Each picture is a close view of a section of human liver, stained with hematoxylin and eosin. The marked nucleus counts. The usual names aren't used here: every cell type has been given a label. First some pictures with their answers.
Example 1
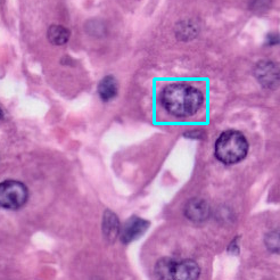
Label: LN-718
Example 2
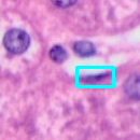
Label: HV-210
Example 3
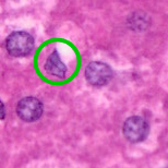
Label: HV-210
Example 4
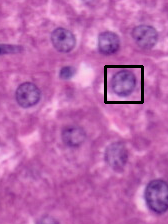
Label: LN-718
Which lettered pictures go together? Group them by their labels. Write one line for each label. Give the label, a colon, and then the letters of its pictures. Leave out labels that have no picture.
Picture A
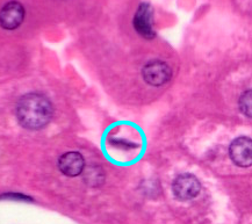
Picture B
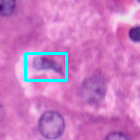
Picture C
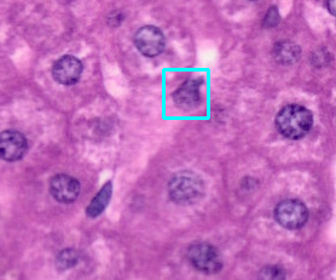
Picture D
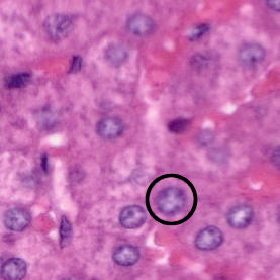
LN-718: D
HV-210: A, B, C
